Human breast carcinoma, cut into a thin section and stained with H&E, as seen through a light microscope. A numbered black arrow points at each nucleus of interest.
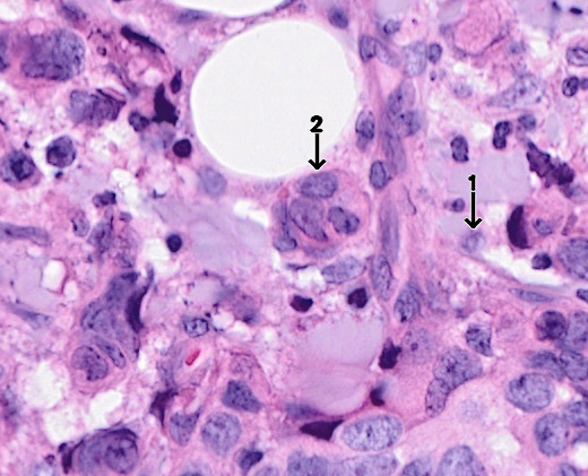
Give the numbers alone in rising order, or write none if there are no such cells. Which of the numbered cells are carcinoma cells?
2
